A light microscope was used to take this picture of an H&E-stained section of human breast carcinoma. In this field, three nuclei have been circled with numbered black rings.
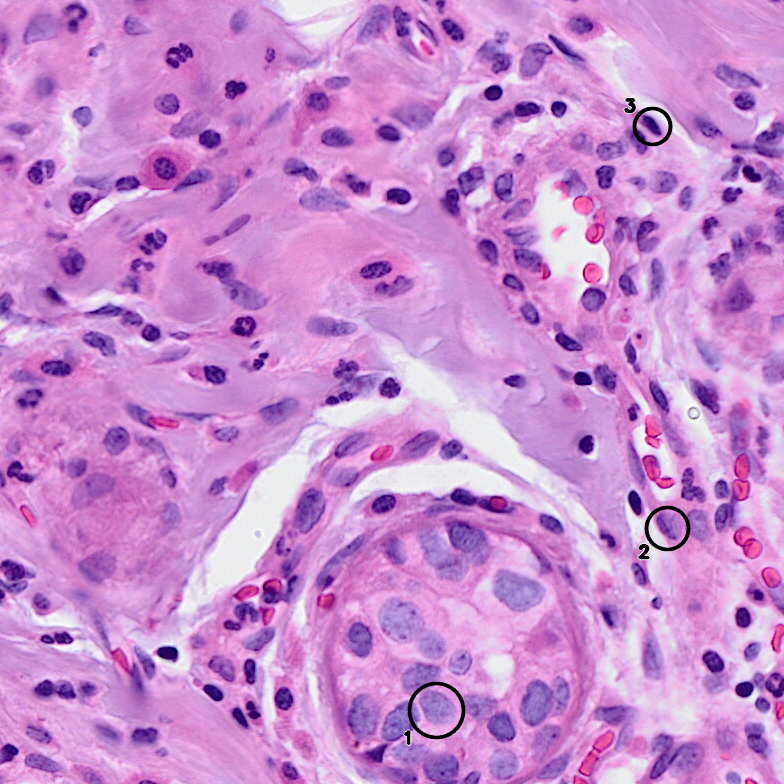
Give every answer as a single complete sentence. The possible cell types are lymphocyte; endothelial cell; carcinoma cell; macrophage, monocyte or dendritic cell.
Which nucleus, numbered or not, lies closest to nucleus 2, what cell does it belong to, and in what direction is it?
It is an endothelial cell, whose nucleus lies to the right of nucleus 2.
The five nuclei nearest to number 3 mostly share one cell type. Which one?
Around number 3, most of the five nearest nuclei are those of macrophages, monocytes or dendritic cells.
